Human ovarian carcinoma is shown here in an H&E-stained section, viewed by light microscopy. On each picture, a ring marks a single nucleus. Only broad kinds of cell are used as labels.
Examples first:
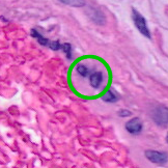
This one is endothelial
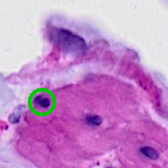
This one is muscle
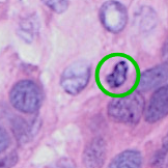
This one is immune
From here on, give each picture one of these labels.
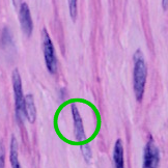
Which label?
muscle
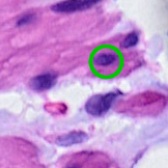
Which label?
muscle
